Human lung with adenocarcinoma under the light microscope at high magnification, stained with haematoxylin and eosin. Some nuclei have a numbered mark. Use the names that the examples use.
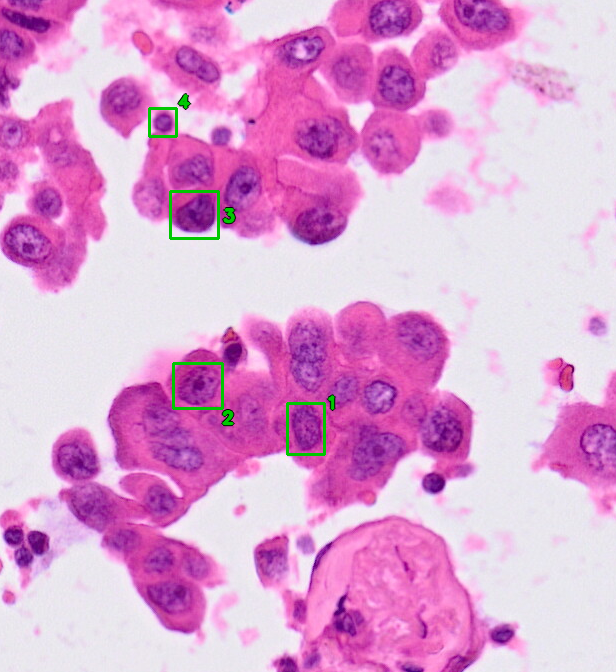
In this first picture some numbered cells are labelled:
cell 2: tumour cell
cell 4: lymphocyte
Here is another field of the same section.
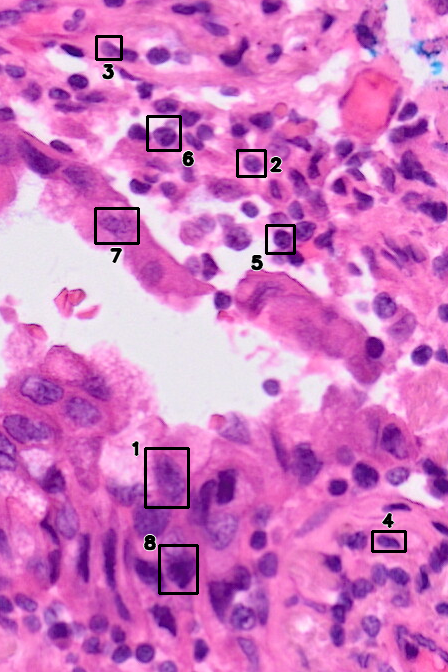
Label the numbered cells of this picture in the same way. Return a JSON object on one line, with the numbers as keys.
{"1": "tumour cell", "2": "lymphocyte", "3": "lymphocyte", "4": "lymphocyte", "5": "lymphocyte", "6": "lymphocyte", "7": "tumour cell", "8": "tumour cell"}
